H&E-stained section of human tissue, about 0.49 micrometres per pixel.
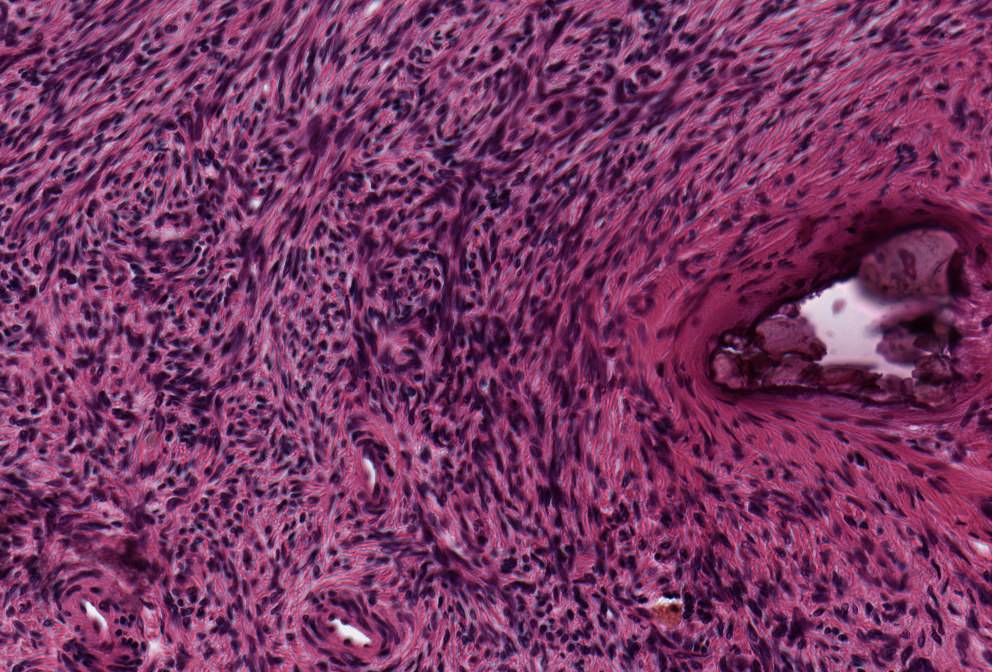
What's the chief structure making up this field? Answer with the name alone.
ovarian cortex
